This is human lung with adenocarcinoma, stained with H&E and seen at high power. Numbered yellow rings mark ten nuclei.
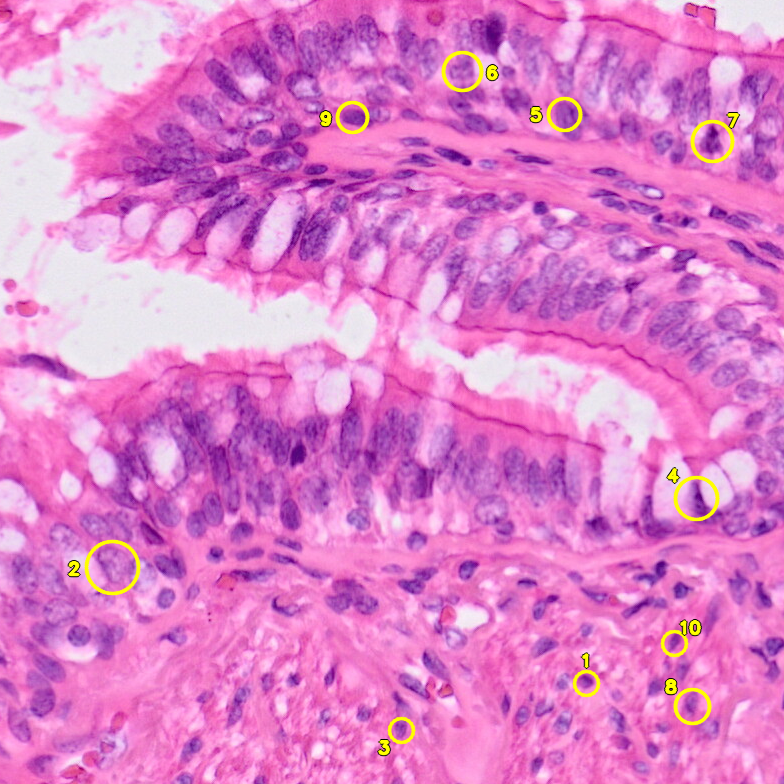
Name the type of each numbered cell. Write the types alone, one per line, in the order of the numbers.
smooth muscle cell or pericyte
ciliated epithelial cell
smooth muscle cell or pericyte
ciliated epithelial cell
ciliated epithelial cell
ciliated epithelial cell
ciliated epithelial cell
smooth muscle cell or pericyte
ciliated epithelial cell
smooth muscle cell or pericyte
